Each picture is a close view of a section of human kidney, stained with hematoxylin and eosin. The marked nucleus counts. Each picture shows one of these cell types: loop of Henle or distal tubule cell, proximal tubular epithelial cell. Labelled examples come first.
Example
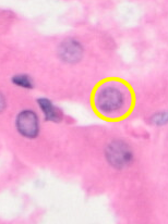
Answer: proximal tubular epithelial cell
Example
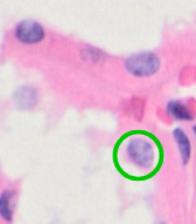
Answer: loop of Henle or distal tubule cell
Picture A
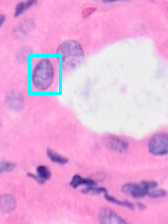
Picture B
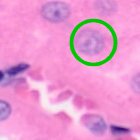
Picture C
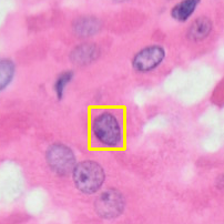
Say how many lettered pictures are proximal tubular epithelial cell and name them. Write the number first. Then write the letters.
2: B, C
